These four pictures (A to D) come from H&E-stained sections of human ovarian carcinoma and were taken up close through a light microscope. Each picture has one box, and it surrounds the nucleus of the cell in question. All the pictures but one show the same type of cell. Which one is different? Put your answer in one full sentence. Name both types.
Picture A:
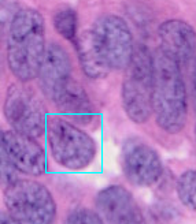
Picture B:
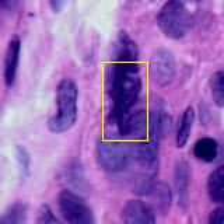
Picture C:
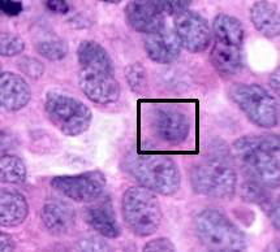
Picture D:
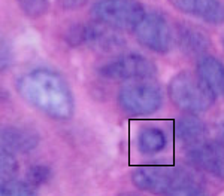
Picture D differs, because its cell is a “macrophage or monocyte” and the rest are carcinoma cells.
